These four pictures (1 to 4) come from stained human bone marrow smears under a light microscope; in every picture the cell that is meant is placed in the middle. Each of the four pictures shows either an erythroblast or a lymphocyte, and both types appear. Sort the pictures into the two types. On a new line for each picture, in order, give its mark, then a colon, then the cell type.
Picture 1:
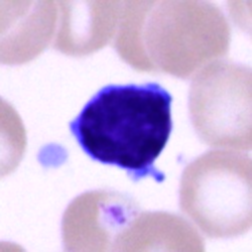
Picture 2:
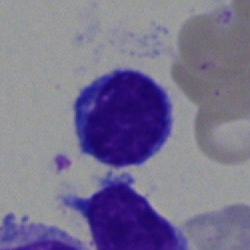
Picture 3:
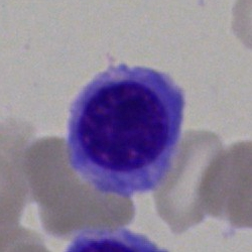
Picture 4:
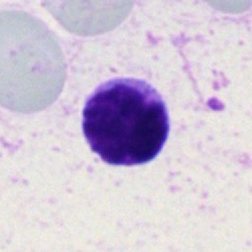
1: lymphocyte
2: lymphocyte
3: erythroblast
4: lymphocyte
